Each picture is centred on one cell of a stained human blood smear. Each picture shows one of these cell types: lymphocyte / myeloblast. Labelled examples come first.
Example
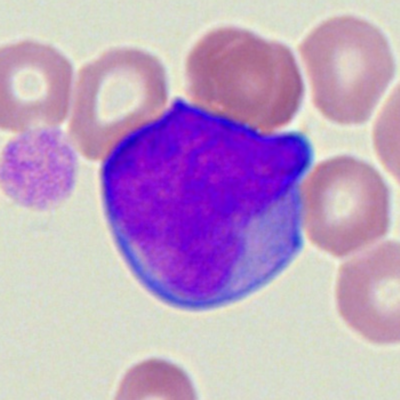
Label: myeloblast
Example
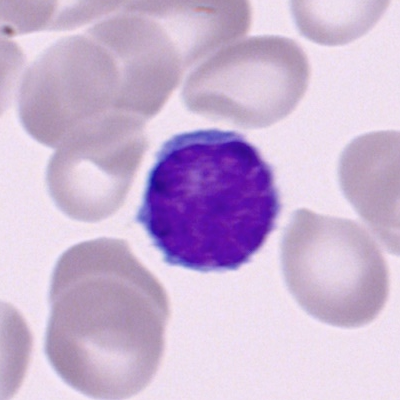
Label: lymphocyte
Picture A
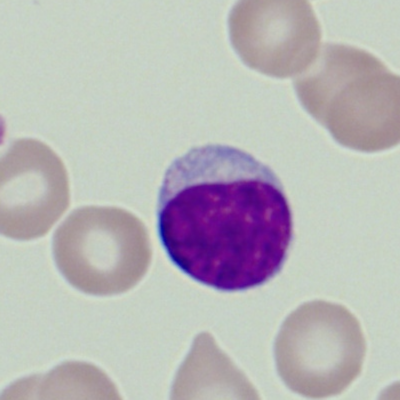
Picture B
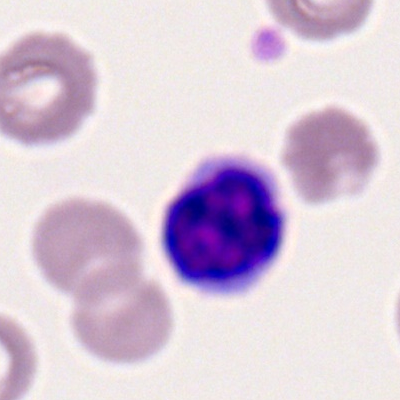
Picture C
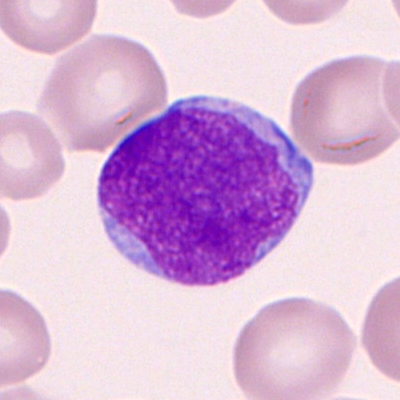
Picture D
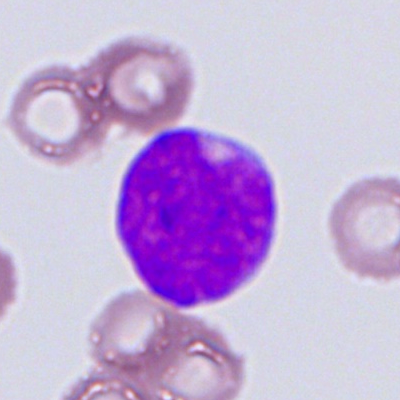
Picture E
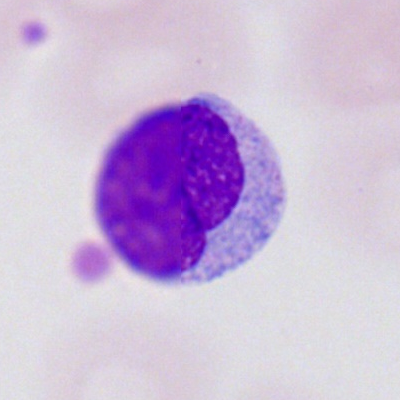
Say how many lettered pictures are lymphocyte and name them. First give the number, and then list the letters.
3: A, B, E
